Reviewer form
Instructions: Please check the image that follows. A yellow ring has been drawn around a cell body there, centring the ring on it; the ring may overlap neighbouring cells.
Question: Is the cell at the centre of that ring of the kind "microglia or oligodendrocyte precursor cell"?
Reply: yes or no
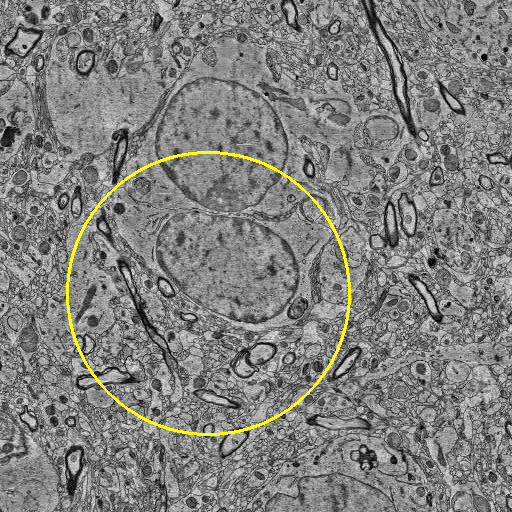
yes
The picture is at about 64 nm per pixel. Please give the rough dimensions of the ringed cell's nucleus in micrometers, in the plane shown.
Approximately 9 x 6 micrometres in this plane.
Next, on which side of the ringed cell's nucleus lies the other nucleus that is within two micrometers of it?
The other one lies above it.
